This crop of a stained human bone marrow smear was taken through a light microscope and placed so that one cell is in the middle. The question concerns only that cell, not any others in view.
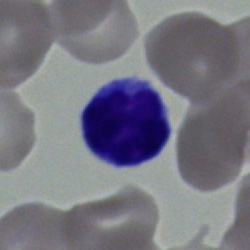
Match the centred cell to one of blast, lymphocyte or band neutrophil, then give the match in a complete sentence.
The cell in the middle of the field of view is a lymphocyte.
